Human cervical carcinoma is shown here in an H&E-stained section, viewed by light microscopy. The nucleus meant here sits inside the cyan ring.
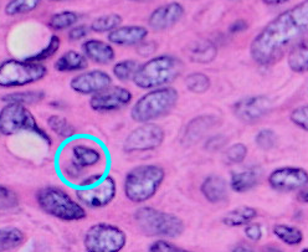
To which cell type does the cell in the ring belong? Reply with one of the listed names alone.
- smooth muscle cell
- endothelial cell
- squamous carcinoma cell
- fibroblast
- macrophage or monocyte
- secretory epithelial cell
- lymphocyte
squamous carcinoma cell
